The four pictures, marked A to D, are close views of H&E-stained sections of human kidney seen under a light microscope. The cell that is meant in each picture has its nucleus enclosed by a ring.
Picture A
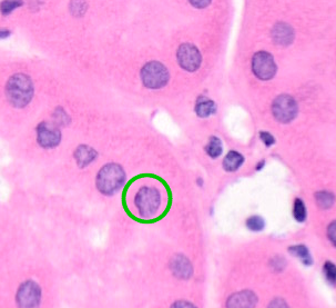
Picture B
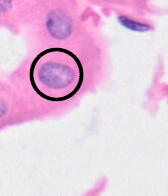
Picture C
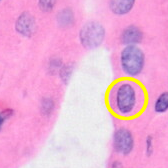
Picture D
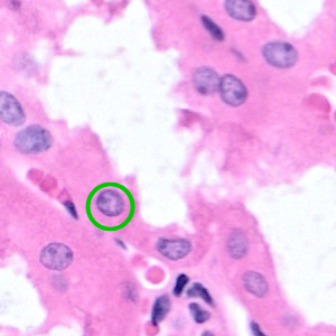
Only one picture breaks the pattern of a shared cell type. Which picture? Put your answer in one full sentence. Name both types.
The different one is picture C; it shows a “loop of Henle or distal tubule cell”, whereas all the others show proximal tubule cells.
